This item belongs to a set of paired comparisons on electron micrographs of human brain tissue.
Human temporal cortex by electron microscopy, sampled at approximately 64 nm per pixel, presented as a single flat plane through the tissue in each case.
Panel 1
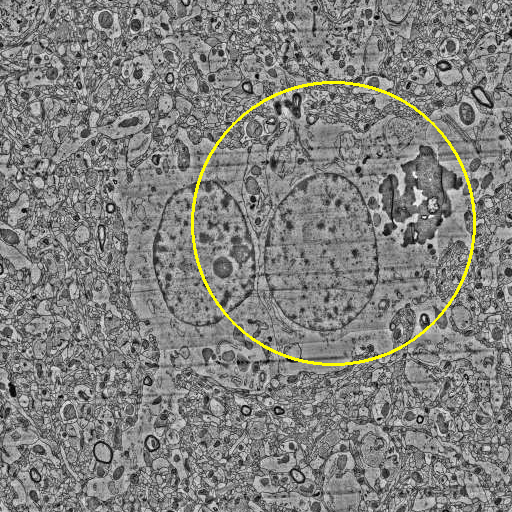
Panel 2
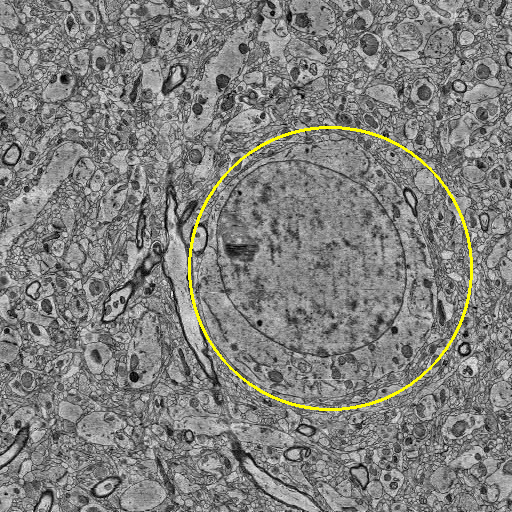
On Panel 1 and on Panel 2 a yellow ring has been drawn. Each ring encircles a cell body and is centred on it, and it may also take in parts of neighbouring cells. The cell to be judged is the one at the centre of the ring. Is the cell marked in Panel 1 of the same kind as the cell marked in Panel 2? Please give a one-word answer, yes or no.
no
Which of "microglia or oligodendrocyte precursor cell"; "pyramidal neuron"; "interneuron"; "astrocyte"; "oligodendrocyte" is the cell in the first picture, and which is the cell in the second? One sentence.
The two differ: the first cell is an astrocyte and the second is a pyramidal neuron.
